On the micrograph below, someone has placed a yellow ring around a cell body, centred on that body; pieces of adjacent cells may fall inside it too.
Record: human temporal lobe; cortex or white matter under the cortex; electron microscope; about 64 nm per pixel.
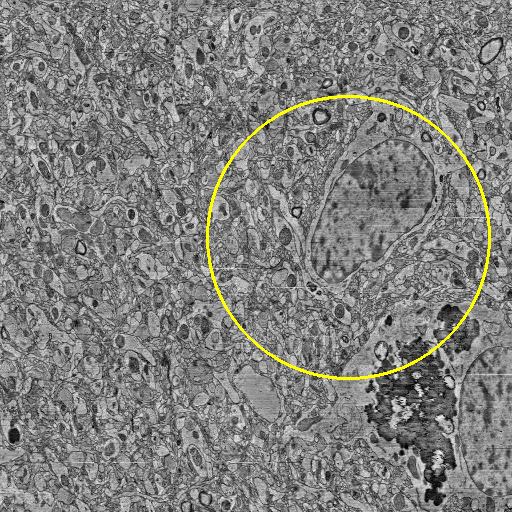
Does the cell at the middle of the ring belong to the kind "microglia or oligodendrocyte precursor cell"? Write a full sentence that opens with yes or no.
Yes, the cell lying at the ring's centre on the micrograph is that kind.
